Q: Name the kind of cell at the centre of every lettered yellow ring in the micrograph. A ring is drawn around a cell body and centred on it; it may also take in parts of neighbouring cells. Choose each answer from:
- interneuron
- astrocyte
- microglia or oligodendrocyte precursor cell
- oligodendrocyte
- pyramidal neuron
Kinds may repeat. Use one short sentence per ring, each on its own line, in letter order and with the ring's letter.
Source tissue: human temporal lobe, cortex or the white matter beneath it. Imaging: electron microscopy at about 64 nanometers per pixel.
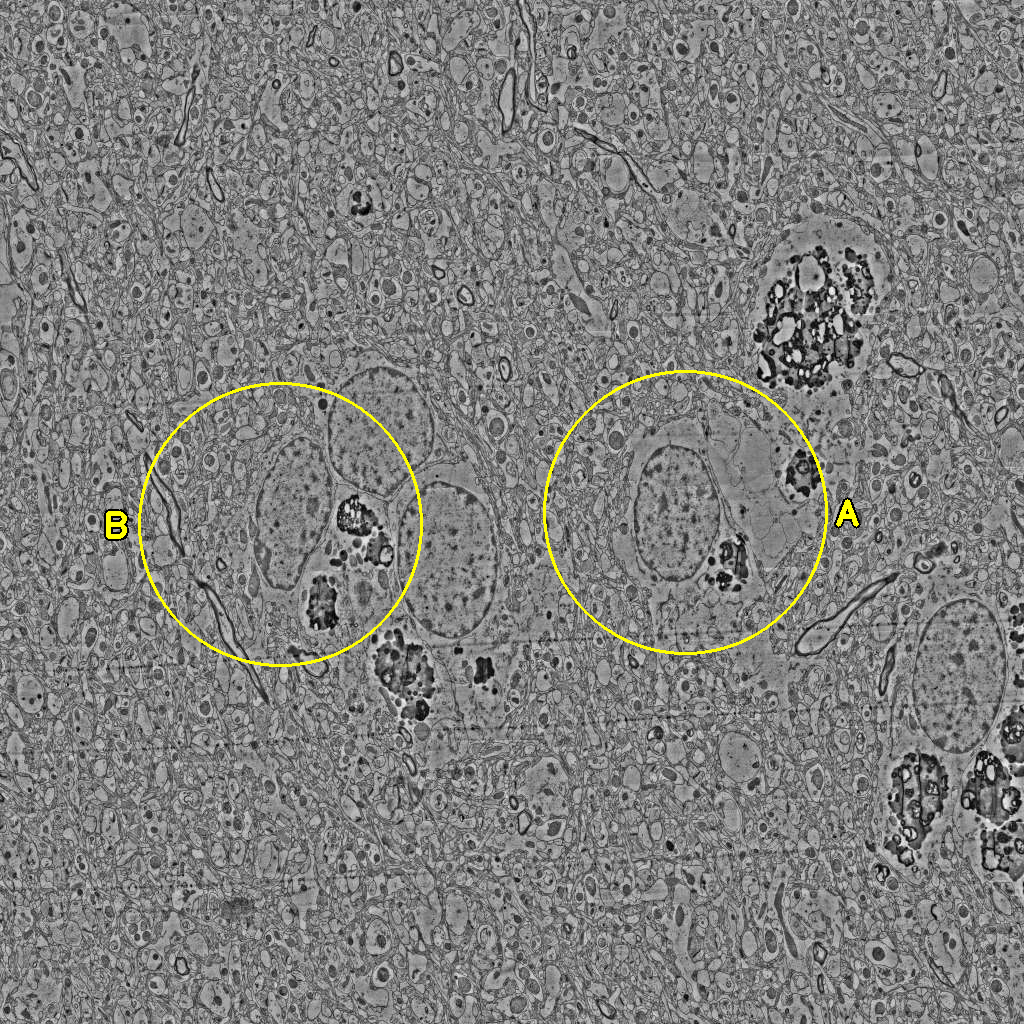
Ring A is placed around an astrocyte.
Ring B is placed around an astrocyte.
